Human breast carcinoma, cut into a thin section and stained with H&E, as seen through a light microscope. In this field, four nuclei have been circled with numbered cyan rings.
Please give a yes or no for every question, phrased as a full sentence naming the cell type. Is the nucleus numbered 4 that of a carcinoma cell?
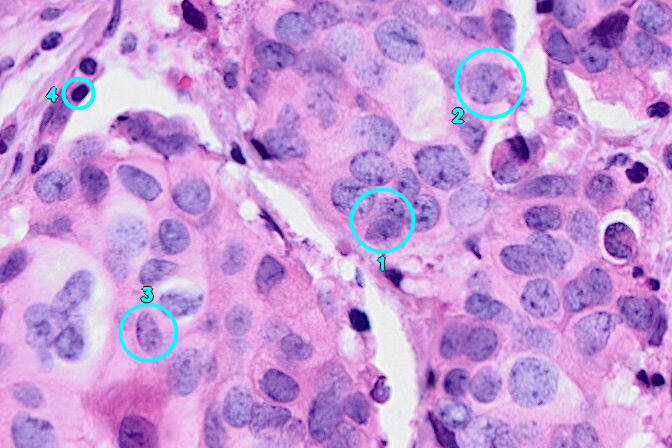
No, it's not a carcinoma cell at number 4; that cell is a lymphocyte.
